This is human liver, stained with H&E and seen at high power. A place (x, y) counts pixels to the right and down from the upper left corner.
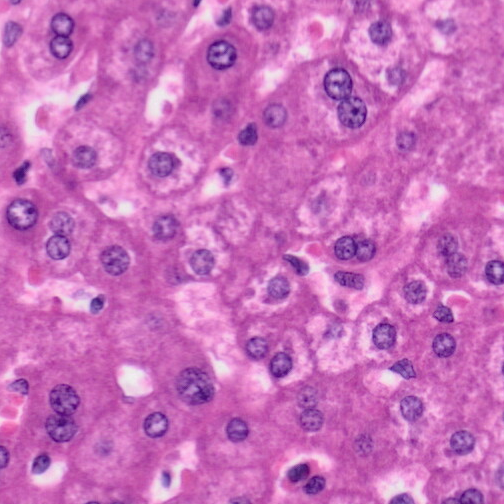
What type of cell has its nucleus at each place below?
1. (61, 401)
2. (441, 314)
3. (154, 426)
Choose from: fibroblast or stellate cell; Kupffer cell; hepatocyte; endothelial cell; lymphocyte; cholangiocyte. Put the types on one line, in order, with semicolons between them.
hepatocyte; endothelial cell; hepatocyte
